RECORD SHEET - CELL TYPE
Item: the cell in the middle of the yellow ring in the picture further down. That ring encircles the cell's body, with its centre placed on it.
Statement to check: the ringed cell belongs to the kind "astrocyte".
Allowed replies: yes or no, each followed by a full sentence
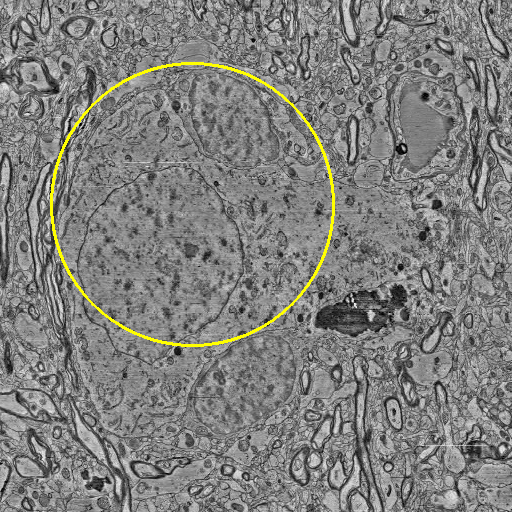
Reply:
No, the cell held at the centre of the ring in the picture is of a different kind.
